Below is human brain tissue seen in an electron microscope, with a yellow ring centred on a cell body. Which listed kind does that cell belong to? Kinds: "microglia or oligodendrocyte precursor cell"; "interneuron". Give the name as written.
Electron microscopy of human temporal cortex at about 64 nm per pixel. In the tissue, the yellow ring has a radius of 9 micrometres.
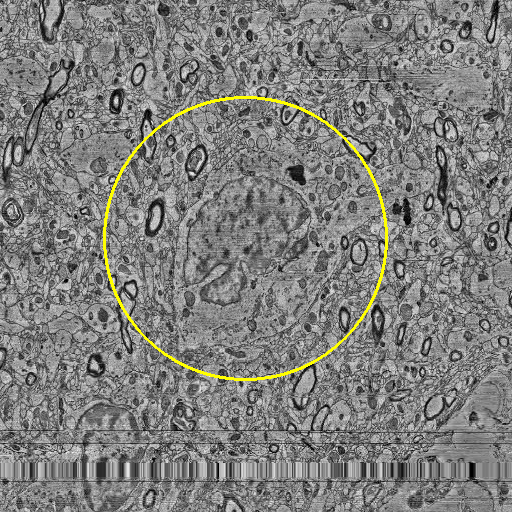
interneuron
